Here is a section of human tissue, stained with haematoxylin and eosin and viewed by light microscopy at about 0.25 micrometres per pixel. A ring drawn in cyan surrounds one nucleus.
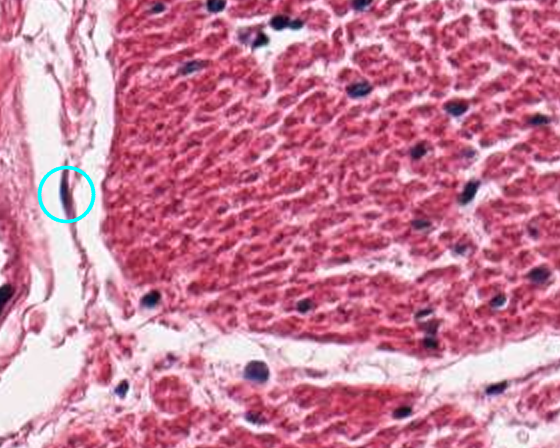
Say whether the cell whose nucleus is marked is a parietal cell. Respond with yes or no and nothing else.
no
